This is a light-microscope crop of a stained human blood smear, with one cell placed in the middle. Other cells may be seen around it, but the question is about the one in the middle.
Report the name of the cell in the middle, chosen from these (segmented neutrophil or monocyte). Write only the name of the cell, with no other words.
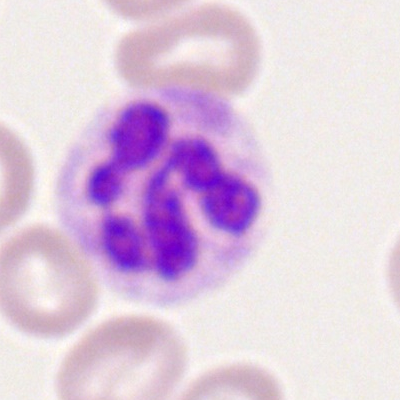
segmented neutrophil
